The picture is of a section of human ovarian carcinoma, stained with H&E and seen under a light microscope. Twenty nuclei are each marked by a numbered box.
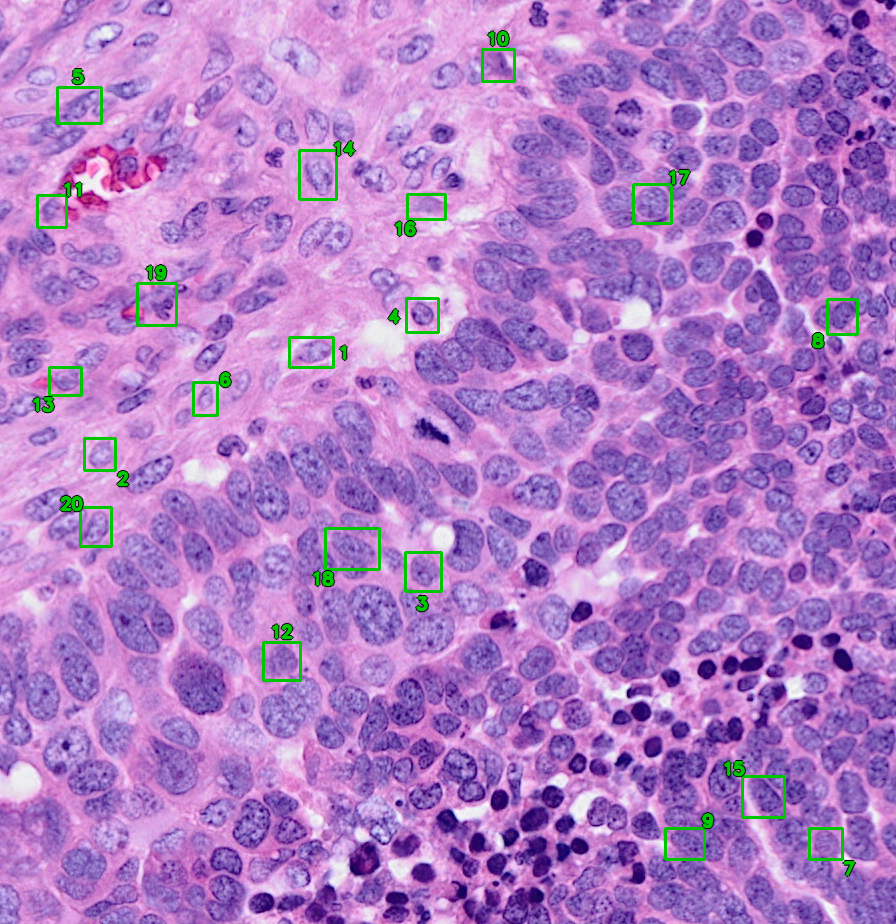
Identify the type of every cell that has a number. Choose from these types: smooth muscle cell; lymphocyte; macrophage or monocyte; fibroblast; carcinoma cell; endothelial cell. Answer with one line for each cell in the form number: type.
1: fibroblast
2: fibroblast
3: carcinoma cell
4: macrophage or monocyte
5: fibroblast
6: fibroblast
7: carcinoma cell
8: carcinoma cell
9: carcinoma cell
10: fibroblast
11: endothelial cell
12: carcinoma cell
13: endothelial cell
14: fibroblast
15: carcinoma cell
16: fibroblast
17: carcinoma cell
18: carcinoma cell
19: endothelial cell
20: fibroblast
